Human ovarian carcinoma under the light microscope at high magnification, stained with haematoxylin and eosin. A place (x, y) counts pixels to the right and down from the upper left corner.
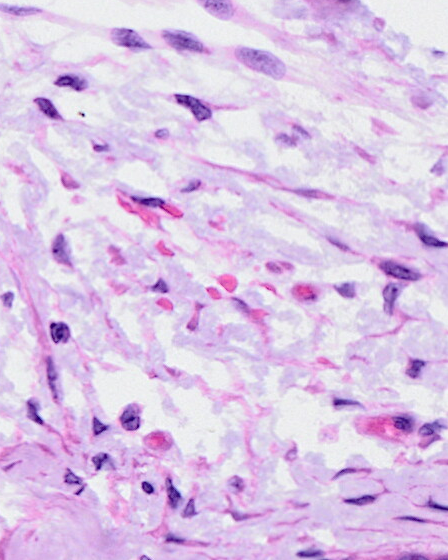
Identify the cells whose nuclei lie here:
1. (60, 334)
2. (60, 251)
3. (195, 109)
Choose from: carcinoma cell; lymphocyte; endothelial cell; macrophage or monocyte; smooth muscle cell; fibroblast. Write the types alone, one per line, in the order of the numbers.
lymphocyte
fibroblast
fibroblast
